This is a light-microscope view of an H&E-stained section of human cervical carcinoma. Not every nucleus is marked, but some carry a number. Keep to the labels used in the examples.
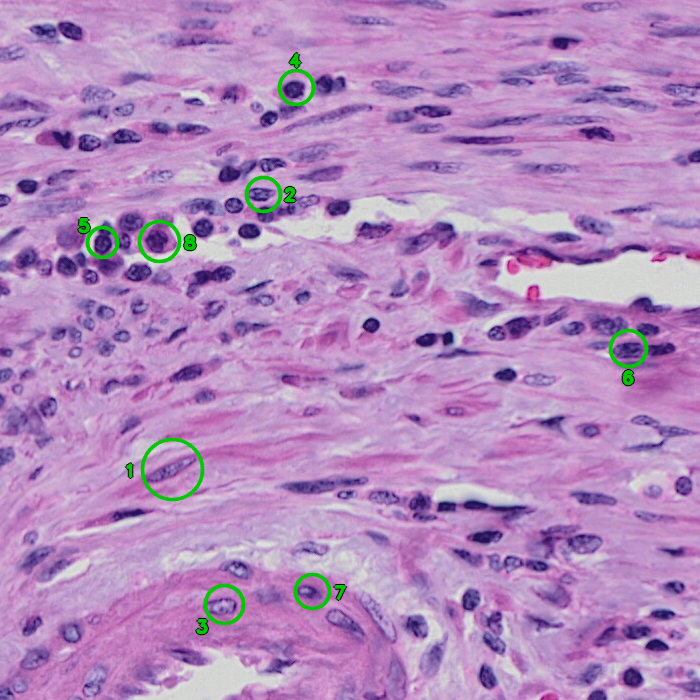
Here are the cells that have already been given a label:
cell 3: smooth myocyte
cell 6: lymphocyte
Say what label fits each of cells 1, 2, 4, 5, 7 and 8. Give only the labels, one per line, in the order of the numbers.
smooth myocyte
lymphocyte
lymphocyte
lymphocyte
smooth myocyte
lymphocyte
